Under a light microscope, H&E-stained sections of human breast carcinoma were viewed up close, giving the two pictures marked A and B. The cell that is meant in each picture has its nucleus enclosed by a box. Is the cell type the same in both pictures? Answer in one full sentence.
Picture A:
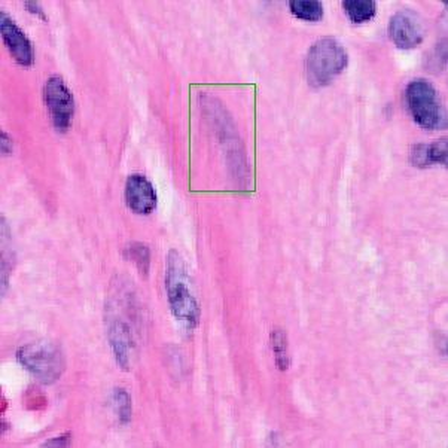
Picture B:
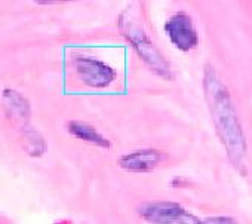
No; the cell in picture A is a fibroblast, while the one in picture B is an endothelial cell.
